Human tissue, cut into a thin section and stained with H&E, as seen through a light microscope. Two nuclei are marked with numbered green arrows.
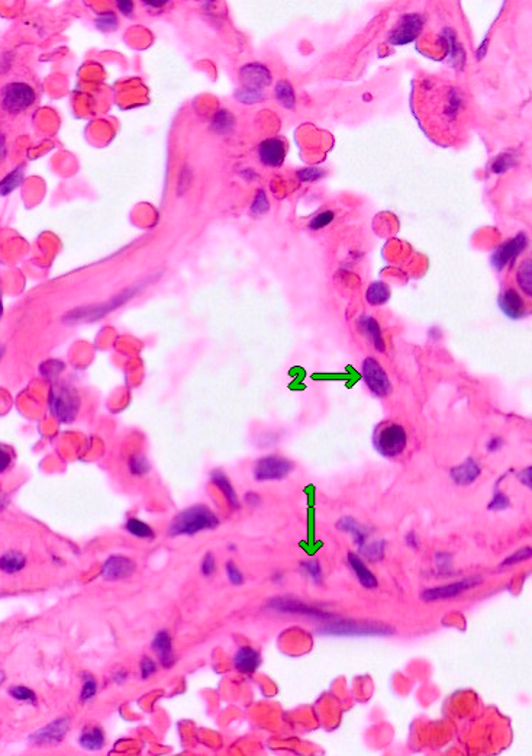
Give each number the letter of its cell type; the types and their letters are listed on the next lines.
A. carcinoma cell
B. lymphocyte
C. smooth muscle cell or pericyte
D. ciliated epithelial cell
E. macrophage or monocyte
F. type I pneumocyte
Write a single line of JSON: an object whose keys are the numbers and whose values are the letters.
{"1": "C", "2": "F"}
